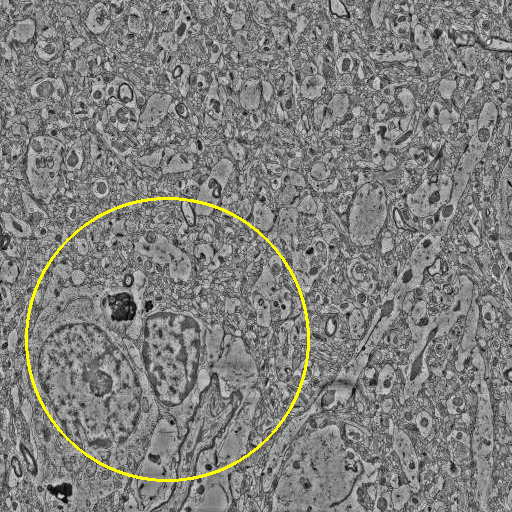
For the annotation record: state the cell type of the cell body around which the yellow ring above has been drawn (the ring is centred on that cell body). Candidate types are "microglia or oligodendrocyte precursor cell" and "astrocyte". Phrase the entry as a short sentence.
The ringed cell is a microglial cell or oligodendrocyte precursor cell.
